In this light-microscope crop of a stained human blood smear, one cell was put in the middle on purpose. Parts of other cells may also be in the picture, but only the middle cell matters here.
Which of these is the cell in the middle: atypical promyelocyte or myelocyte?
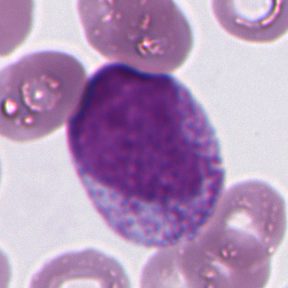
myelocyte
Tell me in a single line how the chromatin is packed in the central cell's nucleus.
No coarse chromatin clumps are present; the pattern is fine.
